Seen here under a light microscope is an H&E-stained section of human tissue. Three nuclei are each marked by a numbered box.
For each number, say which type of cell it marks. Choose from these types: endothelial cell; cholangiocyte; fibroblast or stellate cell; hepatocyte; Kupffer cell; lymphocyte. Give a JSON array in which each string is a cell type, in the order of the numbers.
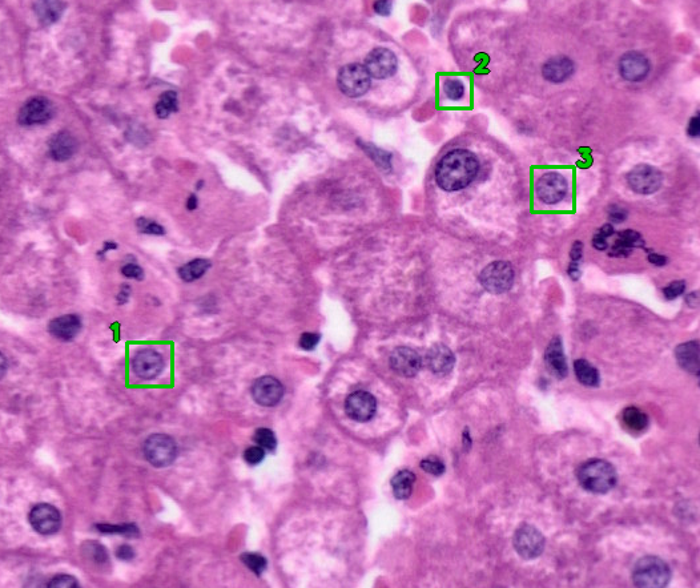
["hepatocyte", "lymphocyte", "hepatocyte"]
